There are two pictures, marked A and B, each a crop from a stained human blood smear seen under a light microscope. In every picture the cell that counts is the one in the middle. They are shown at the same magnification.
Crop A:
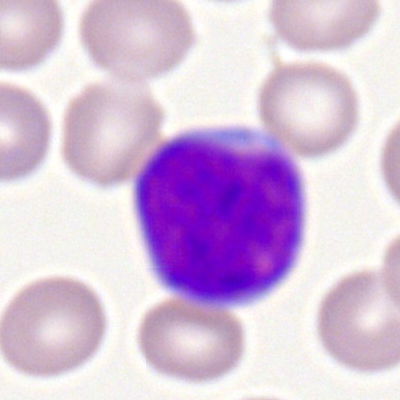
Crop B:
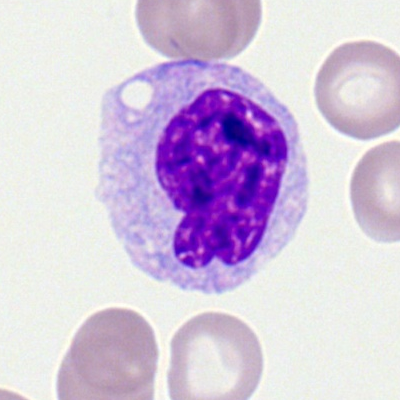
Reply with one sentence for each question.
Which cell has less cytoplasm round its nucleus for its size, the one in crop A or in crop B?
The nucleus fills more of the cell in crop A than in crop B.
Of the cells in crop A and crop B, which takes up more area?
The cell in crop B is larger, with about 1.5 times the area of the one in crop A.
